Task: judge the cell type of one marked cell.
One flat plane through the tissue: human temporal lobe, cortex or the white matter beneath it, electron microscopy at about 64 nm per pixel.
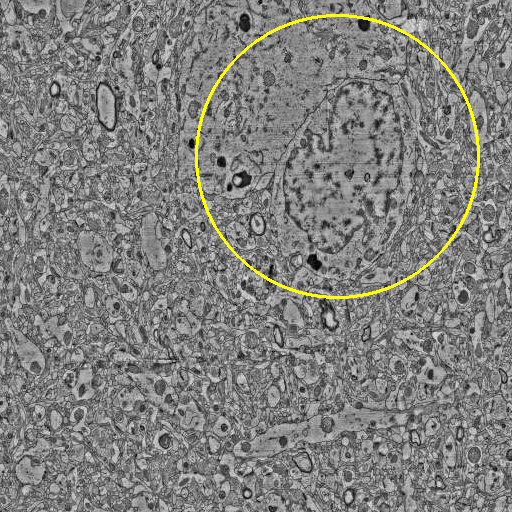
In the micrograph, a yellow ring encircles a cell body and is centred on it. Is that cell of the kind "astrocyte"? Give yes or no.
no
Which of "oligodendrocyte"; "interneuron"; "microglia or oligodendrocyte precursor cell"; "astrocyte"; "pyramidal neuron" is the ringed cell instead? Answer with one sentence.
What the ring is centred on is an interneuron.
